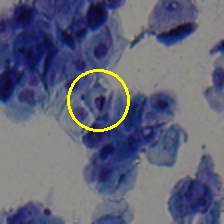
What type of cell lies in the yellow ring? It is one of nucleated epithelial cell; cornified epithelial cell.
The ringed cell is a nucleated epithelial cell.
